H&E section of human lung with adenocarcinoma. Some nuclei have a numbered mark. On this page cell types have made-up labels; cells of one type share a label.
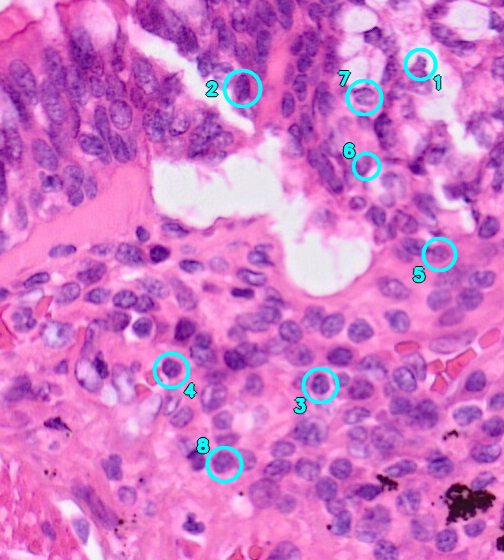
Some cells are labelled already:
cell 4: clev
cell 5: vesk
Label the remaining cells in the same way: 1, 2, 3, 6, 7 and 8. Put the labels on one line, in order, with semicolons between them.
vesk; vesk; clev; vesk; vesk; clev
